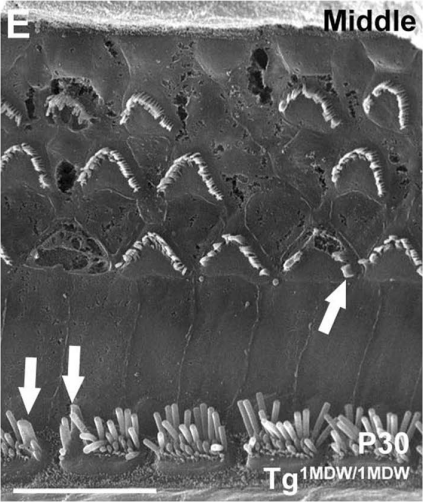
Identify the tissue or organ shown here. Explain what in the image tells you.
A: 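A flat surface mosaic of cell apices with hair bundles projecting from it. Three rows of V-shaped bundles and one row of straight bundles. On this evidence: reticular lamina.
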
